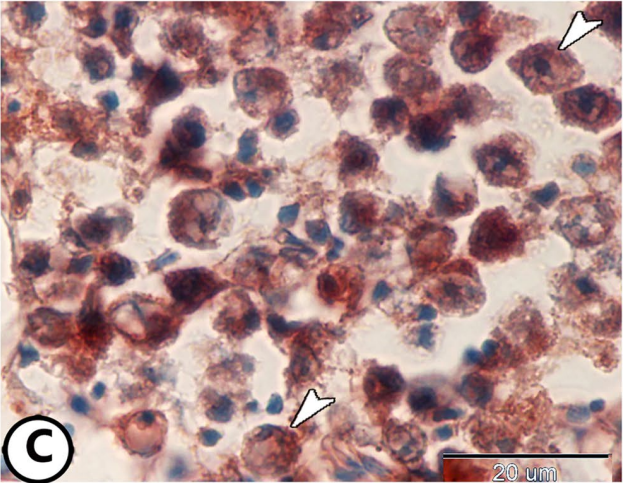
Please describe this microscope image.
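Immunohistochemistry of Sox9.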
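Here you see loosely packed, rounded cells lying in a pale, open interstitial space. Many of the larger round cells carry granular brown-red staining in their cytoplasm and around their nuclei. Smaller cells with compact, dark blue nuclei lie scattered between them.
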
